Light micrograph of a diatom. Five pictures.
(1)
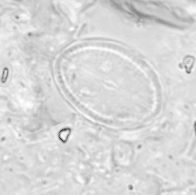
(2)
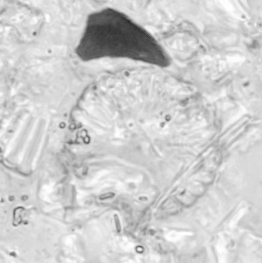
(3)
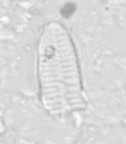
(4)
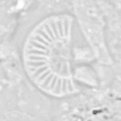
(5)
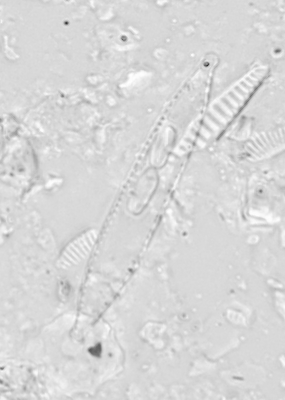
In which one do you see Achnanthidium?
In picture 3.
